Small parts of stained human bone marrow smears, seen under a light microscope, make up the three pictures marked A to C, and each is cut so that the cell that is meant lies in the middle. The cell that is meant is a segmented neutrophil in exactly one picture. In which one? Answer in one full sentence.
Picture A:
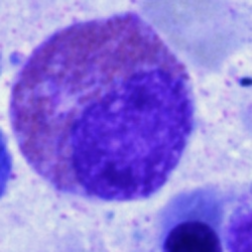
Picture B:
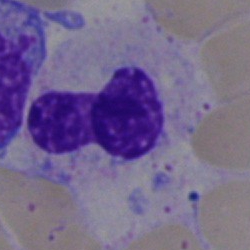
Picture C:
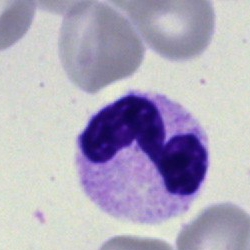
The picture with the segmented neutrophil is C.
